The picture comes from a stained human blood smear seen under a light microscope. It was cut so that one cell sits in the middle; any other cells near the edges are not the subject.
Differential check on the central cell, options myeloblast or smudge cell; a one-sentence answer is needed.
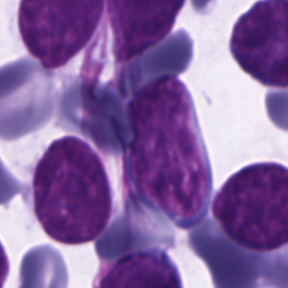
The middle position in this crop is taken by a myeloblast.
